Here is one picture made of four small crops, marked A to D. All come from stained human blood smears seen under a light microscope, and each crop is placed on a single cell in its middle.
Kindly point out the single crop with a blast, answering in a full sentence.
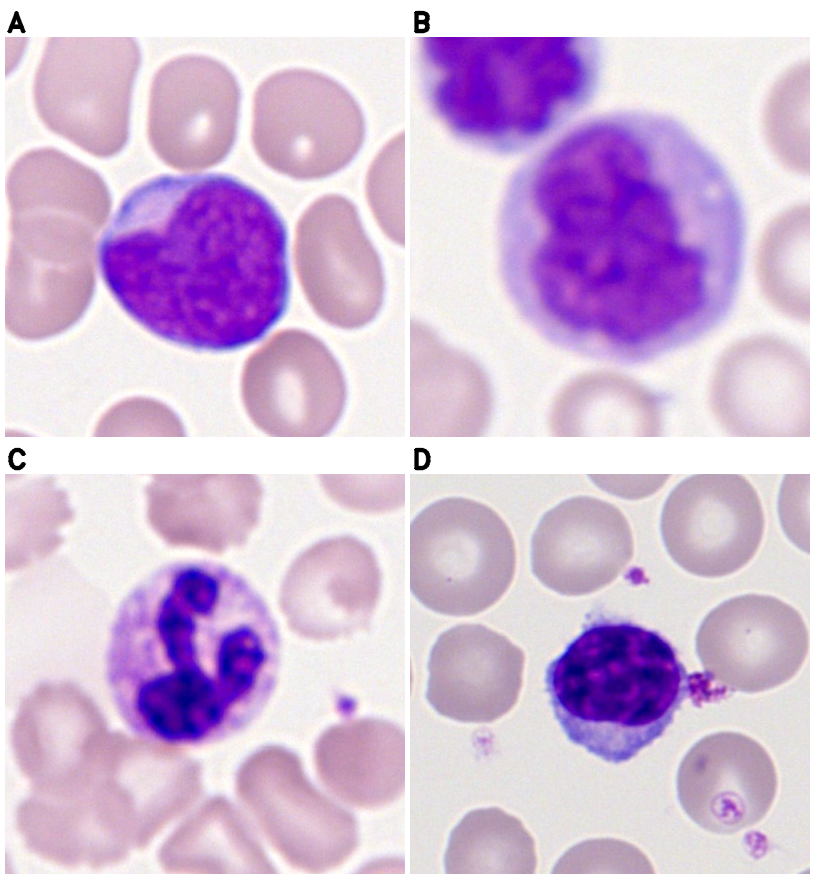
The crop with a blast at its center is crop A.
